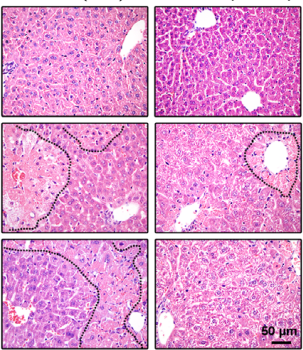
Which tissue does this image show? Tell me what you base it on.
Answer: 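Liver. Polygonal cells with central round nuclei arranged in cords. Round vessel lumens scattered through the tissue.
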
